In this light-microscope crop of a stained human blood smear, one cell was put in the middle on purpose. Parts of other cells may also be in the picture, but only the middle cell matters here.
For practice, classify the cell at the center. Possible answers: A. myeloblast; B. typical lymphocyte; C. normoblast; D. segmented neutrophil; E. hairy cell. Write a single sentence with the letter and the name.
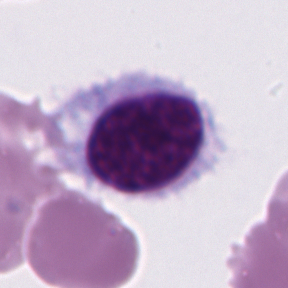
This one is option E, since the cell at the center is a hairy cell.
